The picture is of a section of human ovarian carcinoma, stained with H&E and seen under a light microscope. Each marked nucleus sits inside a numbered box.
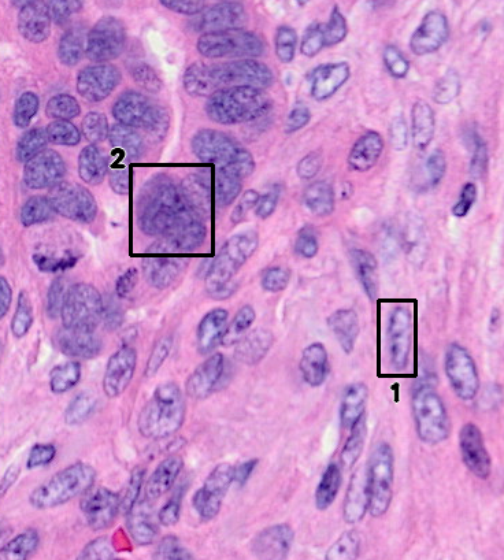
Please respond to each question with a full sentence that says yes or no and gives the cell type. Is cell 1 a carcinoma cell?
No, cell 1 represents a fibroblast rather than a carcinoma cell.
